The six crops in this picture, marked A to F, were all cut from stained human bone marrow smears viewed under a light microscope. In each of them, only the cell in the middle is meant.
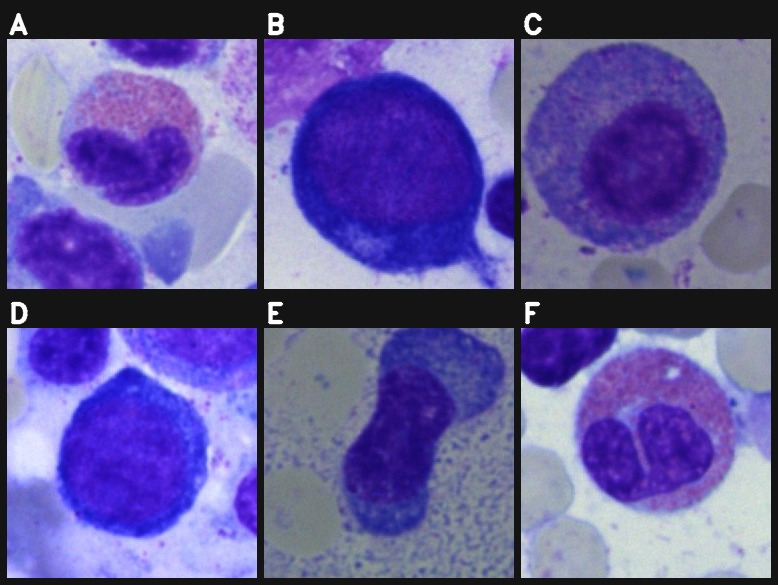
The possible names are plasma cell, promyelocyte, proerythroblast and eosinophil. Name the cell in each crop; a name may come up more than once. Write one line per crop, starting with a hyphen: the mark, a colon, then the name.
- A: eosinophil
- B: proerythroblast
- C: promyelocyte
- D: proerythroblast
- E: plasma cell
- F: eosinophil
